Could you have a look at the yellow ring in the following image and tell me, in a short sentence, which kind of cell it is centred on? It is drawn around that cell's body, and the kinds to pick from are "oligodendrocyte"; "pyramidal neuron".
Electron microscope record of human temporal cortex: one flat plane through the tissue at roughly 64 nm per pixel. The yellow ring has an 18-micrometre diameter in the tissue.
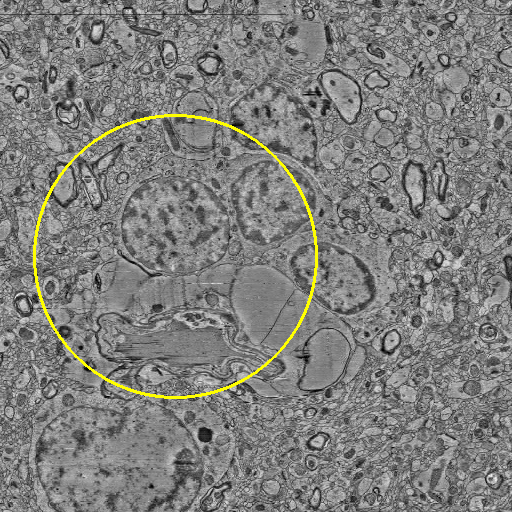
The ring is centred on the body of an oligodendrocyte.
